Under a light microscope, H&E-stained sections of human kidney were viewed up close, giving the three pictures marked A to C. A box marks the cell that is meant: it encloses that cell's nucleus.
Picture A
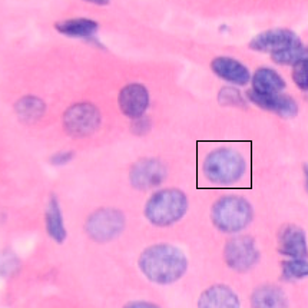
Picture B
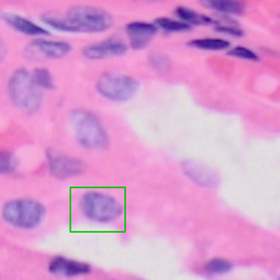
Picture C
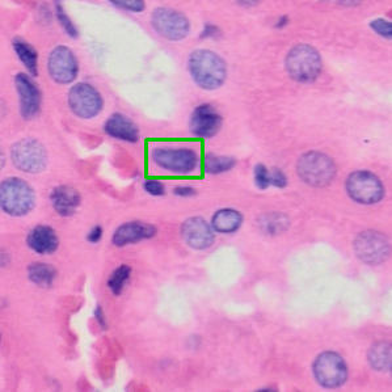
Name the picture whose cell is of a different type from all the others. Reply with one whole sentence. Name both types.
Picture C is the odd one out: it shows a collecting duct cell, while the others show “loop of Henle or distal tubule cells”.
